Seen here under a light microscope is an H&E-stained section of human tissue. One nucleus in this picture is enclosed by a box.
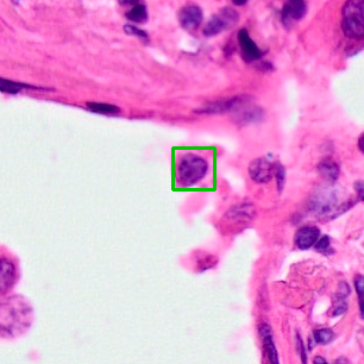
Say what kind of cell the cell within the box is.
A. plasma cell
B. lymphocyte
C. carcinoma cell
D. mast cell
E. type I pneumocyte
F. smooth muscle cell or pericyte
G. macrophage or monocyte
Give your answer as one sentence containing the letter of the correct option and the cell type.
According to option G, the cell within the box is a macrophage or monocyte, and this is correct.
